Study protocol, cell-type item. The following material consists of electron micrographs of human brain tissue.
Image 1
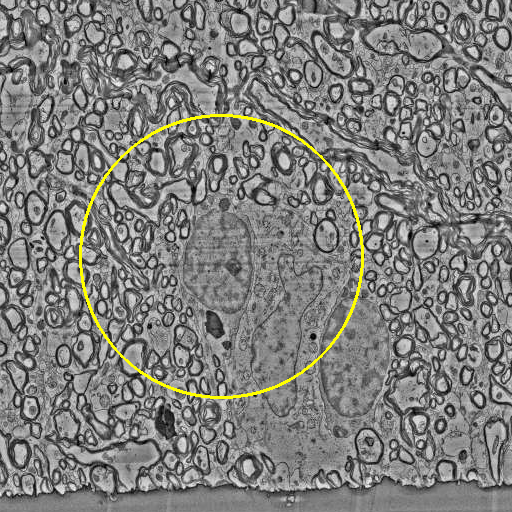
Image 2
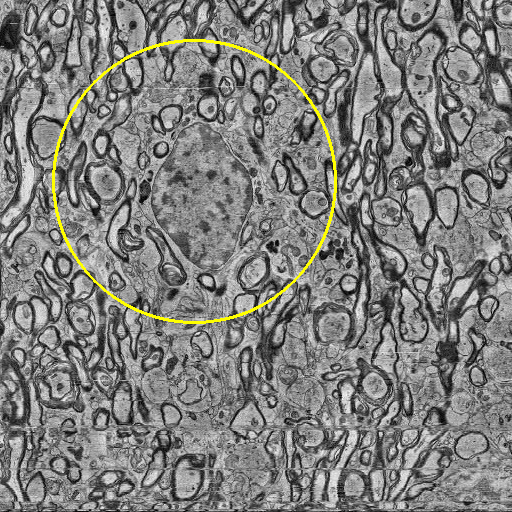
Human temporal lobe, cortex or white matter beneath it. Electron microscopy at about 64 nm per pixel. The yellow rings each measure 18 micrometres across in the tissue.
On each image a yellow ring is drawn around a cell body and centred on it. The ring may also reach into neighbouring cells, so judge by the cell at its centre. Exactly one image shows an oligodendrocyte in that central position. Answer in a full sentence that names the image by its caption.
The cell at the centre of the ring in Image 1 is of that kind.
